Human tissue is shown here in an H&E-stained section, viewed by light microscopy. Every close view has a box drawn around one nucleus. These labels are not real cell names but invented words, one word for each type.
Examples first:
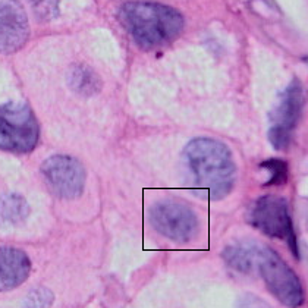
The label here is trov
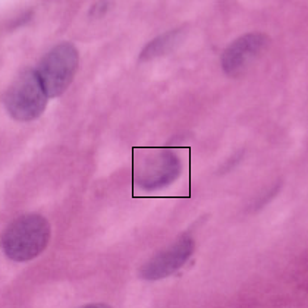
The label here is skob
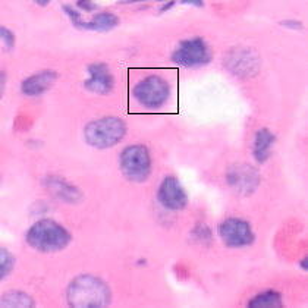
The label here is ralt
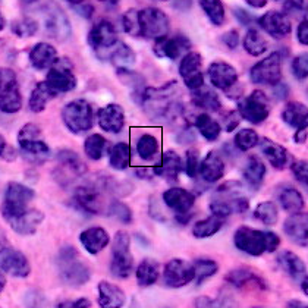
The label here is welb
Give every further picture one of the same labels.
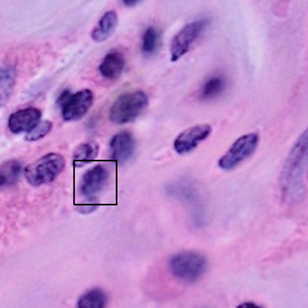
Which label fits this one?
welb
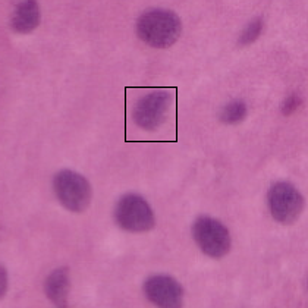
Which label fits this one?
skob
